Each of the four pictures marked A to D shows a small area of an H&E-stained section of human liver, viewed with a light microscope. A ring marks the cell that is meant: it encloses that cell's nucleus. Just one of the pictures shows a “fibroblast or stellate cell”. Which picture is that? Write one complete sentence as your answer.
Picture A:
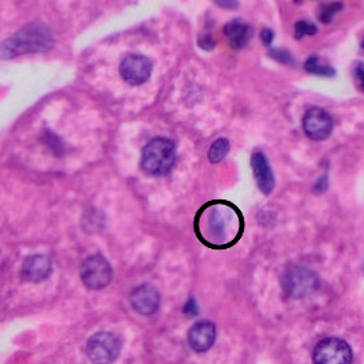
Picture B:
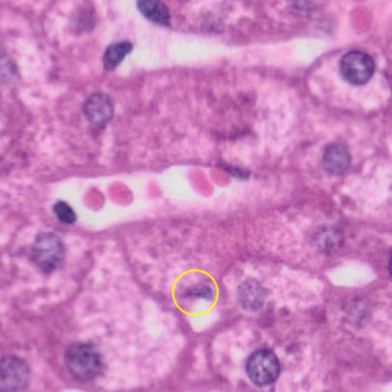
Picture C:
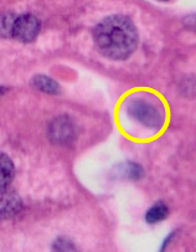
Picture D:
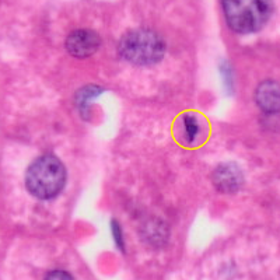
It is picture D that shows the “fibroblast or stellate cell”.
